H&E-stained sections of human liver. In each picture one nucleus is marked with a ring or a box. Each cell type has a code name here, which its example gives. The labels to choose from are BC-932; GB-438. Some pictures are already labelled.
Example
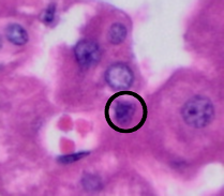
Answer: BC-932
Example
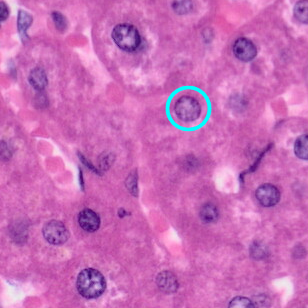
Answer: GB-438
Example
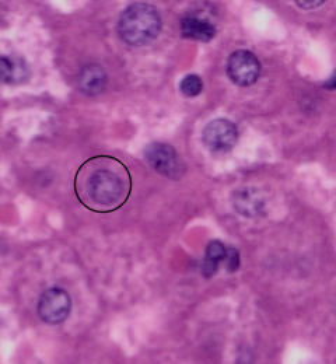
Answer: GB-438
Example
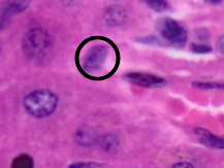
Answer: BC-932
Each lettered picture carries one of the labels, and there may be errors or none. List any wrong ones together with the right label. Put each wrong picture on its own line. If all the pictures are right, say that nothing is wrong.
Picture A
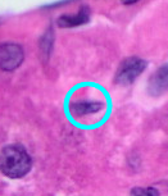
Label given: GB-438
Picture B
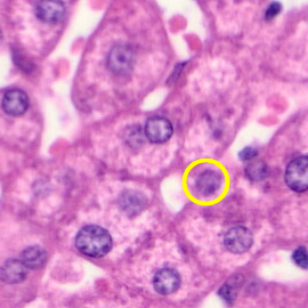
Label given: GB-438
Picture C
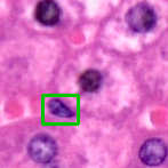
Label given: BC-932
A: change GB-438 to BC-932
